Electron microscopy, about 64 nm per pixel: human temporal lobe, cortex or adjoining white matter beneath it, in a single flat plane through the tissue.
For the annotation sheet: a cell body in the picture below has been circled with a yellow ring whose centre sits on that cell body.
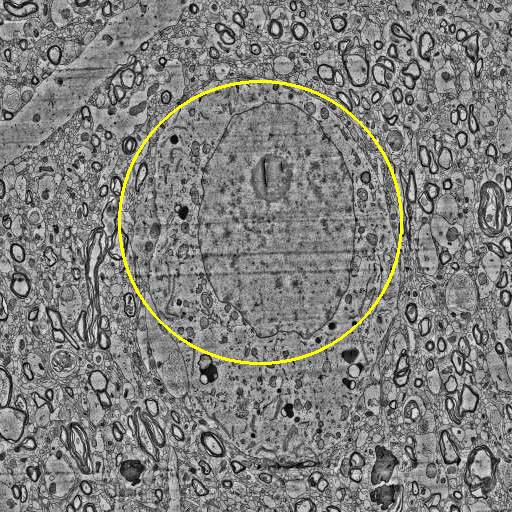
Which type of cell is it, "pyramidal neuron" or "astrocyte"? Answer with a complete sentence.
The circled cell is a pyramidal neuron.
